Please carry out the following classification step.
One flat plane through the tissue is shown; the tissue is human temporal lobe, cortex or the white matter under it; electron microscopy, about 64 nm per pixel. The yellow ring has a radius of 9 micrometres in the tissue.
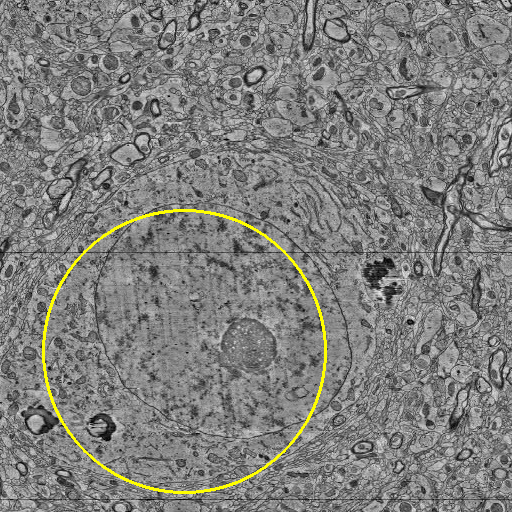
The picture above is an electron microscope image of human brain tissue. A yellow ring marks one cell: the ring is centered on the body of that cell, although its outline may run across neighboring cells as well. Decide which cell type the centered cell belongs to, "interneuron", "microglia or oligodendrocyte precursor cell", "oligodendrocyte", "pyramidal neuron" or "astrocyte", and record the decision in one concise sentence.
The cell centered in the yellow ring is a pyramidal neuron.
